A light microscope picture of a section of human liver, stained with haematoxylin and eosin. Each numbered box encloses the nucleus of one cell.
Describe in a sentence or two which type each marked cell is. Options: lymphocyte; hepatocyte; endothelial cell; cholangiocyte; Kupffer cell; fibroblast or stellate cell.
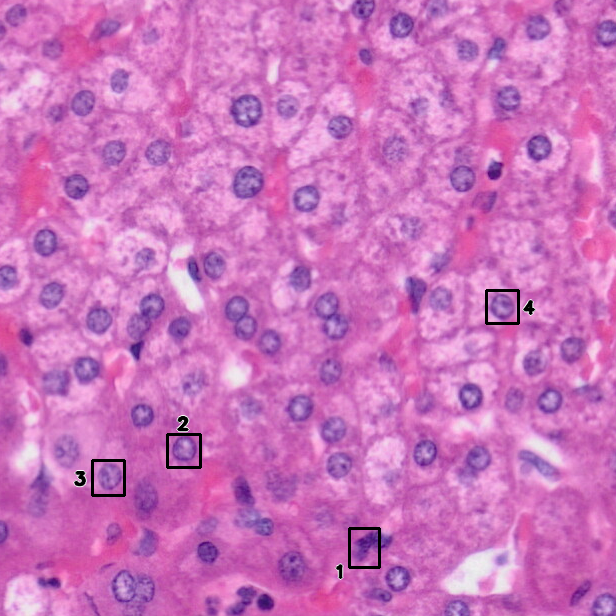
Cell 1 is a fibroblast or stellate cell, cell 2 is a hepatocyte, cell 3 is a hepatocyte and cell 4 is a hepatocyte.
